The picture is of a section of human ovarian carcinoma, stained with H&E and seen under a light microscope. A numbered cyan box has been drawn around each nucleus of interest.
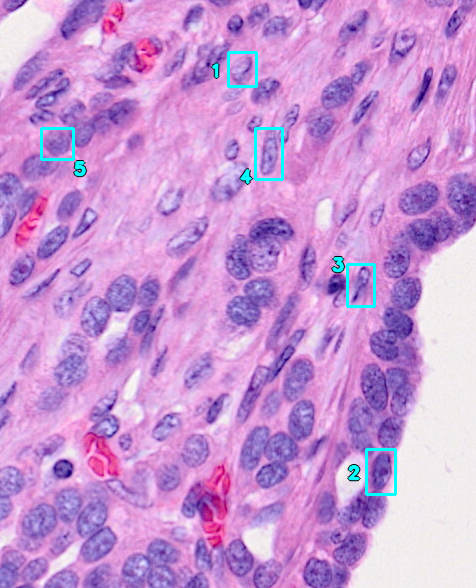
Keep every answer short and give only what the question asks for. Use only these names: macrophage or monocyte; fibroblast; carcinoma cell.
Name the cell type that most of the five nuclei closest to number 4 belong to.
macrophage or monocyte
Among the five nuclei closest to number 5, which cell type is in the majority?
carcinoma cell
